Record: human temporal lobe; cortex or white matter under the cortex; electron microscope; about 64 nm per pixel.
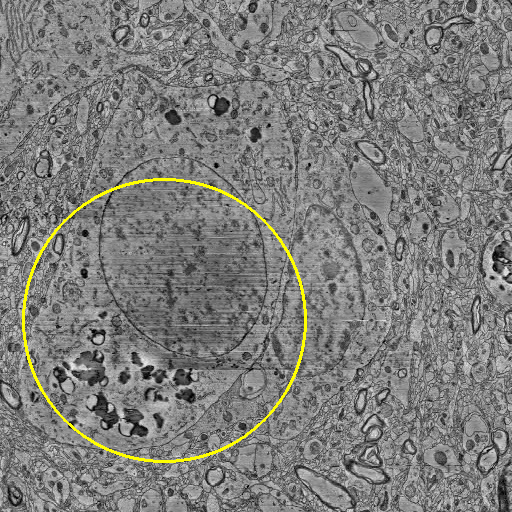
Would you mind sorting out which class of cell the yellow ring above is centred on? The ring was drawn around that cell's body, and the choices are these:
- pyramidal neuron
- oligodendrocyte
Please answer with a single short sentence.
This is the cell body of a pyramidal neuron.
